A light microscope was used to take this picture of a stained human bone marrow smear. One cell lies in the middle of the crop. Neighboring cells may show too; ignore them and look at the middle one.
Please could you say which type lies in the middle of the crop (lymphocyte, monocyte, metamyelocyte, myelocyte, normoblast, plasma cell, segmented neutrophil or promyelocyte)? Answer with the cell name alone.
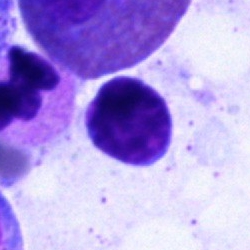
lymphocyte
